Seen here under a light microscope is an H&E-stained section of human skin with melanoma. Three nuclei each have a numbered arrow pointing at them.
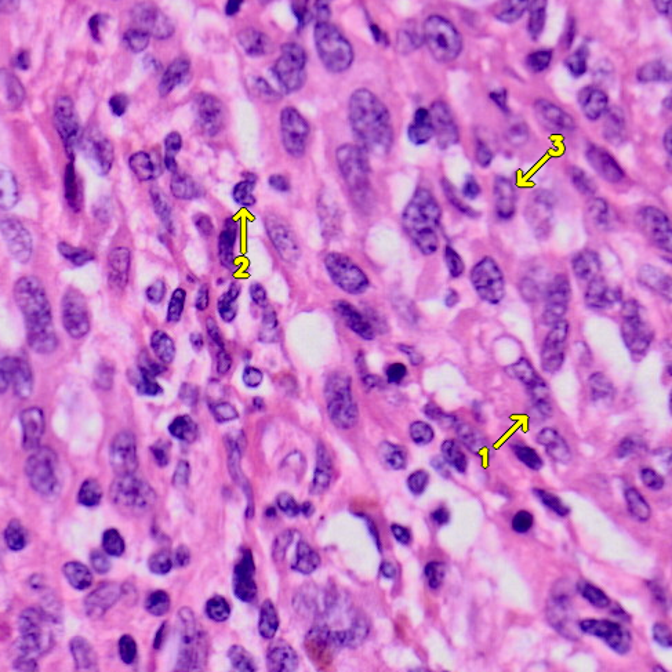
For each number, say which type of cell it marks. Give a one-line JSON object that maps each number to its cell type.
{"1": "melanoma cell", "2": "lymphocyte", "3": "melanoma cell"}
